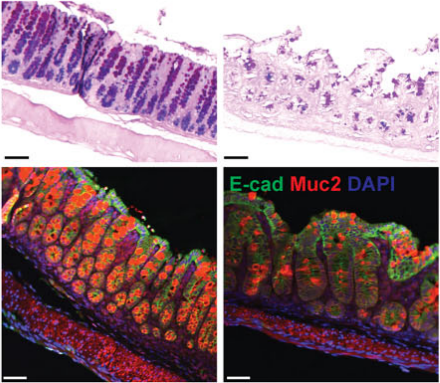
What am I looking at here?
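This block shows colonic mucosa in two ways: a histochemical mucus stain on top and fluorescence below. In the upper left image, dark purple, mucus-filled goblet cells are stacked densely along the length of the crypts, while in the upper right image only small scattered purple clusters remain in a paler mucosa. In the lower images the crypts are seen with red-filled rounded cells within them, a green outline along the epithelium, and blue nuclei. Beneath the mucosa lies a layer of muscle and connective tissue.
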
